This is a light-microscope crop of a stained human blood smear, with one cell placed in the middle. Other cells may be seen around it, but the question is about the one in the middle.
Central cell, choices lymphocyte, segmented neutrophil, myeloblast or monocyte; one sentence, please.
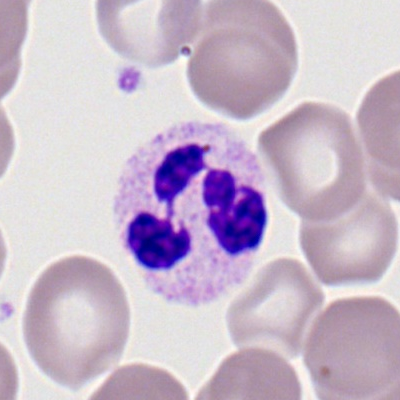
The cell centered in this field of view is a segmented neutrophil.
